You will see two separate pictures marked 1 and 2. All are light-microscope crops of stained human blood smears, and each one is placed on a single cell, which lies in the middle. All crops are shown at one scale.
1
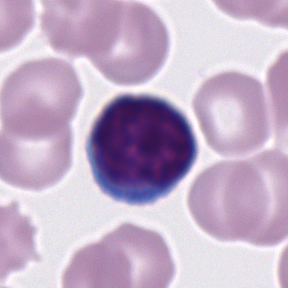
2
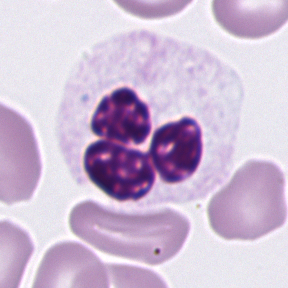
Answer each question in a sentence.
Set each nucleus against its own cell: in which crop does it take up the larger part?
The nucleus fills more of the cell in crop 1 than in crop 2.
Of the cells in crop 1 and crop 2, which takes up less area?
Crop 1 holds the smaller cell, since the cell in crop 2 covers about 1.5 times as much area.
